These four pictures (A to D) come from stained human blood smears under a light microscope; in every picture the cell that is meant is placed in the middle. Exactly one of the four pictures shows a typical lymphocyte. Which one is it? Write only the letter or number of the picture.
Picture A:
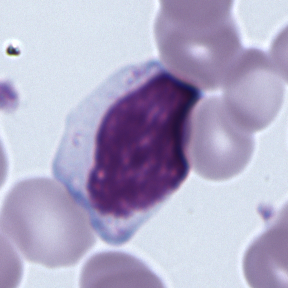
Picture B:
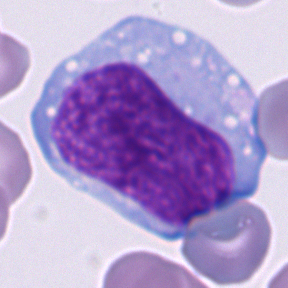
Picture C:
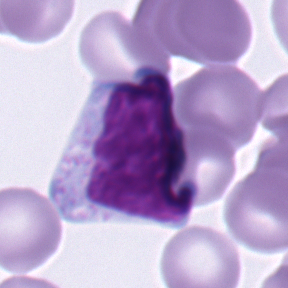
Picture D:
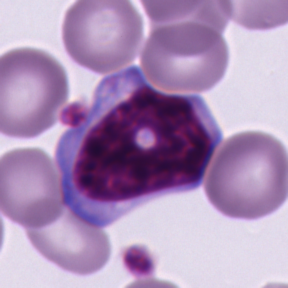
D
